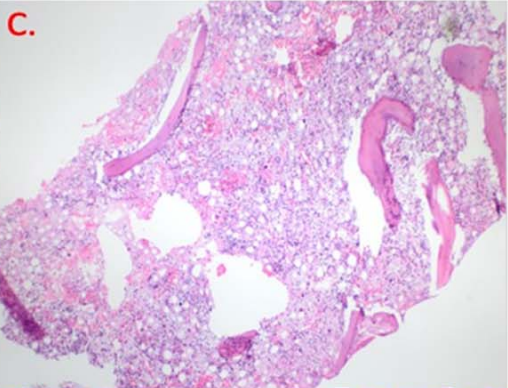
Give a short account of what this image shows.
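This low-power view shows a bone marrow biopsy core, with pink bony trabeculae running as elongated, curved bars through the tissue. Between the trabeculae lies marrow made of many round, empty fat spaces of varying size, intermixed with areas of densely packed small hematopoietic cells whose nuclei give a speckled purple look. Fat and cells are roughly interspersed, so the marrow is partly cellular rather than packed. A few larger irregular clear spaces are present, and small pink patches of blood lie in places.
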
